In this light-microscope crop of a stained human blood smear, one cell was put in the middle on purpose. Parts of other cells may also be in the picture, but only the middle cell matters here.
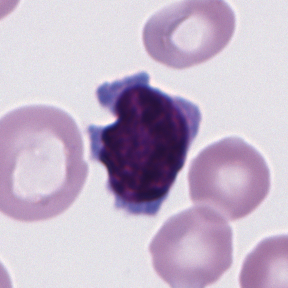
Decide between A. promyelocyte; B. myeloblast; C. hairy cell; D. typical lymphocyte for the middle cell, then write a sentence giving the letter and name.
What sits in the middle of the crop is a typical lymphocyte, and option D is correct.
